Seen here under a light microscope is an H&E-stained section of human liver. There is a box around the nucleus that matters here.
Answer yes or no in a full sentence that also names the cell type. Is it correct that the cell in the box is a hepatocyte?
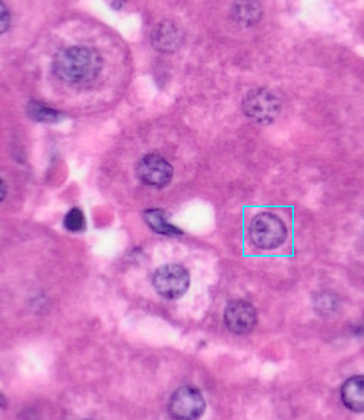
Yes, it is the case that the cell in the box is a hepatocyte.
